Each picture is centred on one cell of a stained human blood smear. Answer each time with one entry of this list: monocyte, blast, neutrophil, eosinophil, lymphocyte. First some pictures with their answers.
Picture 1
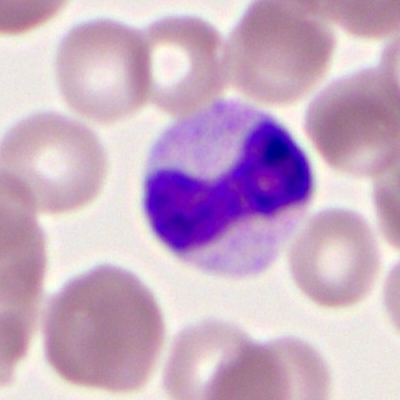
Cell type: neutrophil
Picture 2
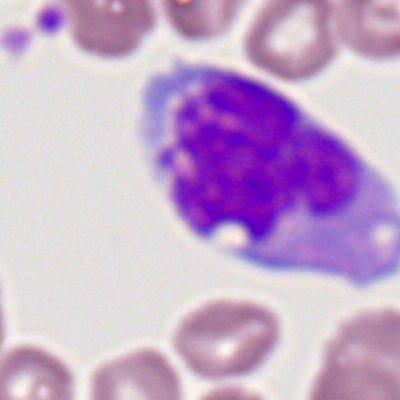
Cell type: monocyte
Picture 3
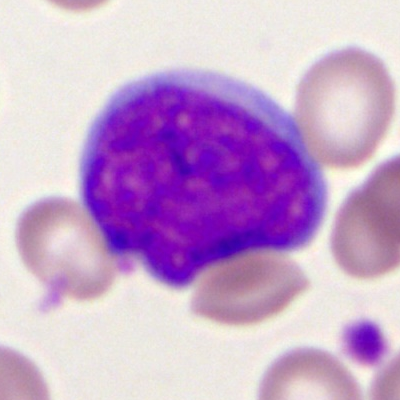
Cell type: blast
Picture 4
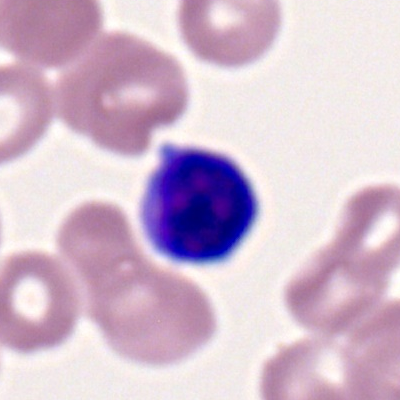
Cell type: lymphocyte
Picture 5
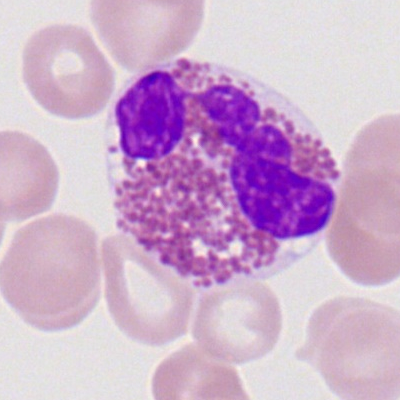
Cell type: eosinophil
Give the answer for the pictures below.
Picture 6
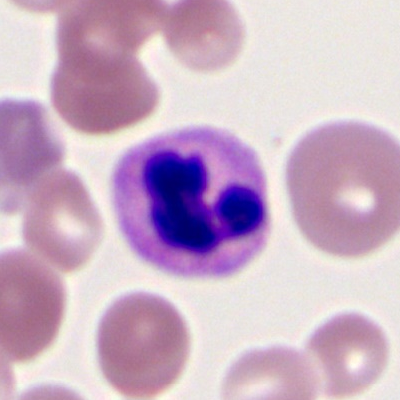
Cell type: neutrophil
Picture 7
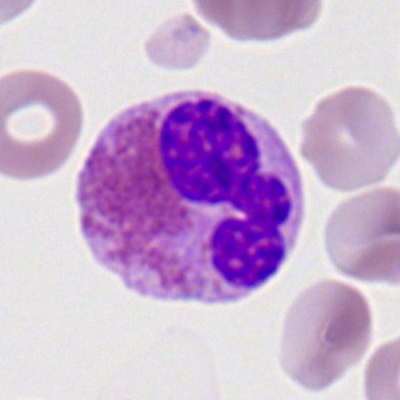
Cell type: eosinophil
